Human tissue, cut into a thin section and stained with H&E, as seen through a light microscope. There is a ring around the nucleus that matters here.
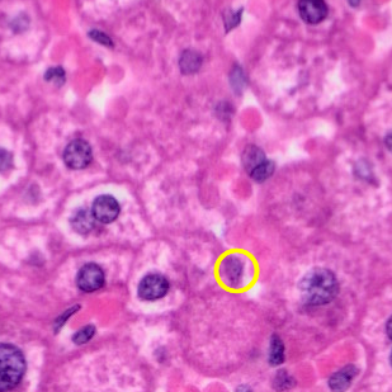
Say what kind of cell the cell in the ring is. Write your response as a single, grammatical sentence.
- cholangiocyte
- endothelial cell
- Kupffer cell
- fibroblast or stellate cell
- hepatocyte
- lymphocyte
In this section of tissue, the cell in the ring is a Kupffer cell.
